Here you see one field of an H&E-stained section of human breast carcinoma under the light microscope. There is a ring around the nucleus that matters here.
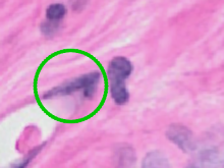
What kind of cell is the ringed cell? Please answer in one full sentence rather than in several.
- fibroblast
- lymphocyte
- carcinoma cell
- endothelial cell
Considered by cell type, the ringed cell is an endothelial cell.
